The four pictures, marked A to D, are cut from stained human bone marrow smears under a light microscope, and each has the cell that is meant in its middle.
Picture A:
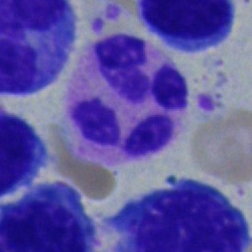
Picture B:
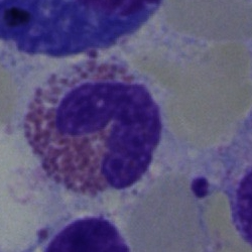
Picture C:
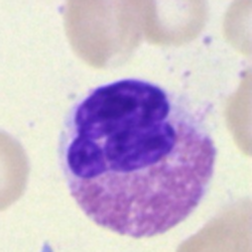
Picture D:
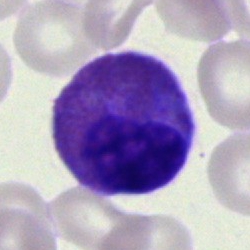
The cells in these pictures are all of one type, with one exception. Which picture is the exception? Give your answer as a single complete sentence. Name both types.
Unlike the rest, which show eosinophils, picture A shows a segmented neutrophil.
